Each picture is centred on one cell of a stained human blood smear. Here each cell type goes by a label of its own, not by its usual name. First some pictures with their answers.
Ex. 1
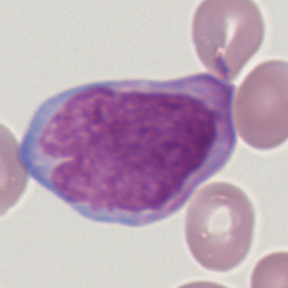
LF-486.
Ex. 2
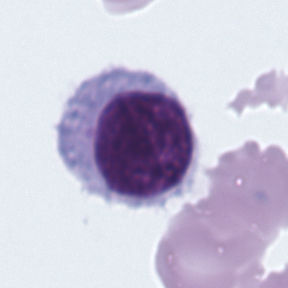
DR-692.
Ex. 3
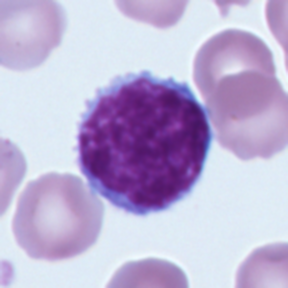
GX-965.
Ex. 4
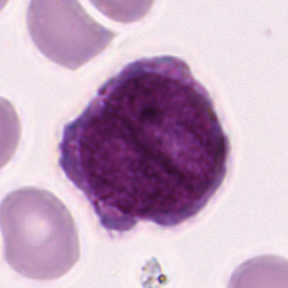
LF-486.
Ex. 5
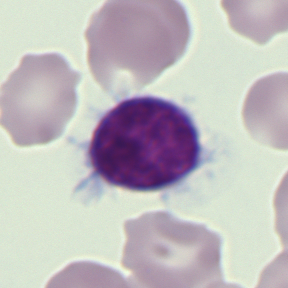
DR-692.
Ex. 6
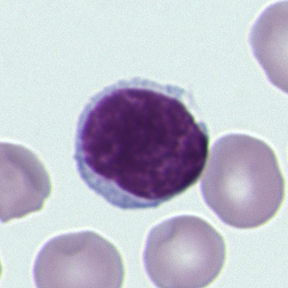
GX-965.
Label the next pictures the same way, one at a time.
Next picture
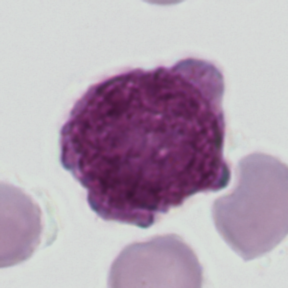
LF-486.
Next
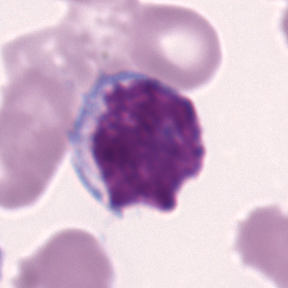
GX-965.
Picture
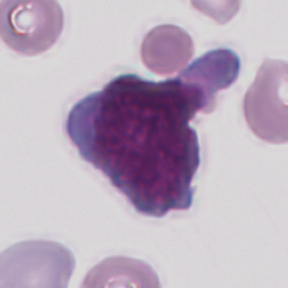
LF-486.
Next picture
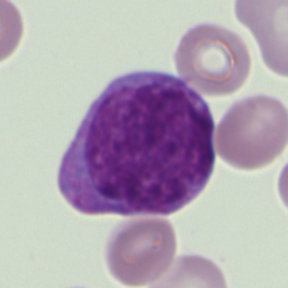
LF-486.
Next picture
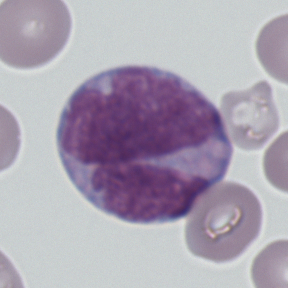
LF-486.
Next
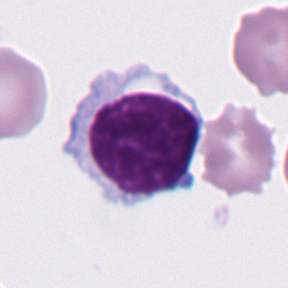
GX-965.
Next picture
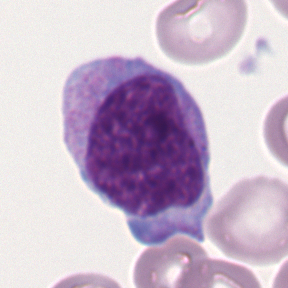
LF-486.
